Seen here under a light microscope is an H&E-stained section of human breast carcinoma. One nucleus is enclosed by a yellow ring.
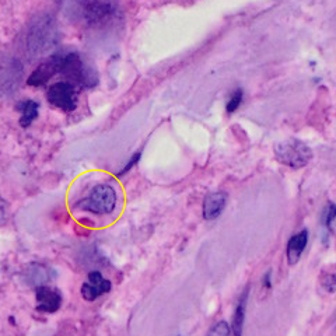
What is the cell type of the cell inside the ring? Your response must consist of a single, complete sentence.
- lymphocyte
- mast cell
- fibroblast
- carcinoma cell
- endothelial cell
It is as an endothelial cell that the cell inside the ring is classified.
